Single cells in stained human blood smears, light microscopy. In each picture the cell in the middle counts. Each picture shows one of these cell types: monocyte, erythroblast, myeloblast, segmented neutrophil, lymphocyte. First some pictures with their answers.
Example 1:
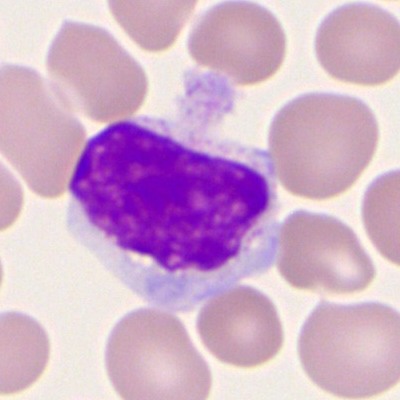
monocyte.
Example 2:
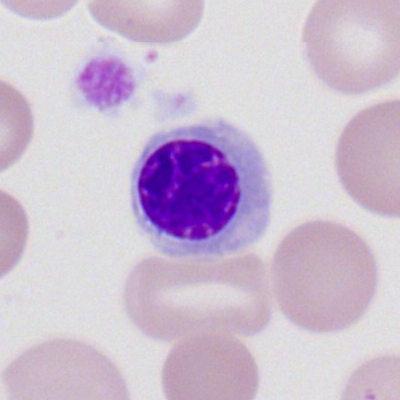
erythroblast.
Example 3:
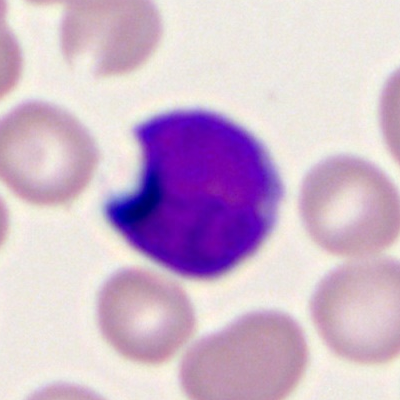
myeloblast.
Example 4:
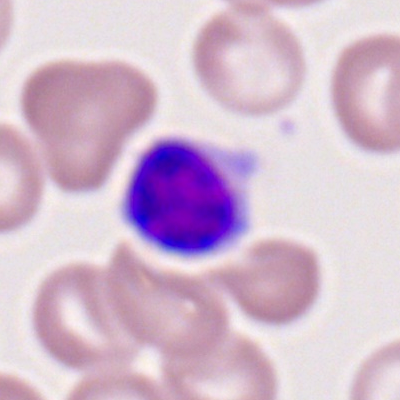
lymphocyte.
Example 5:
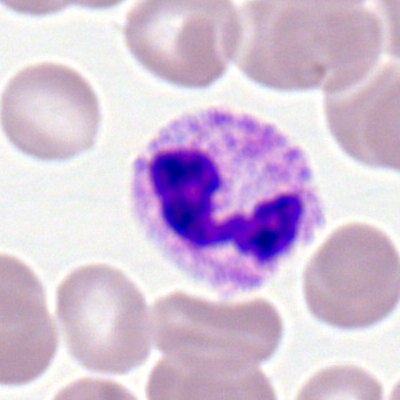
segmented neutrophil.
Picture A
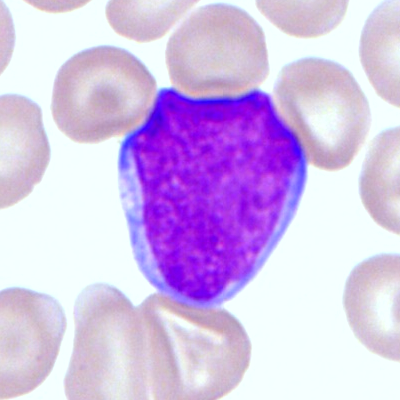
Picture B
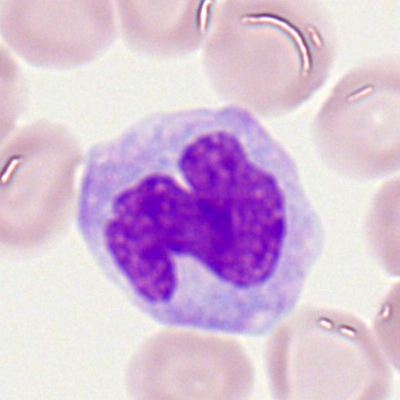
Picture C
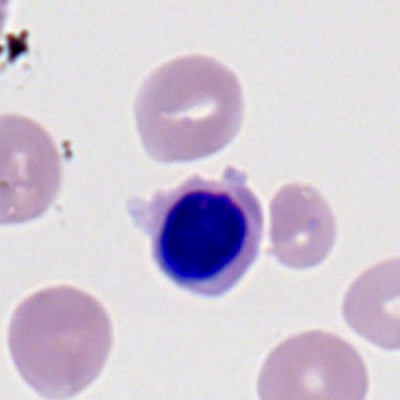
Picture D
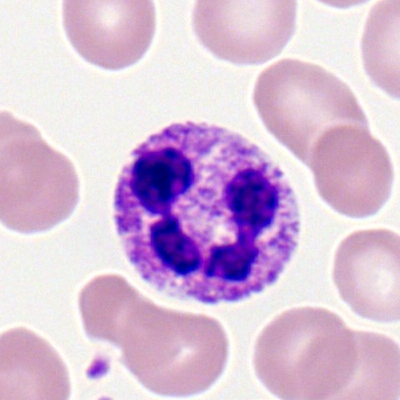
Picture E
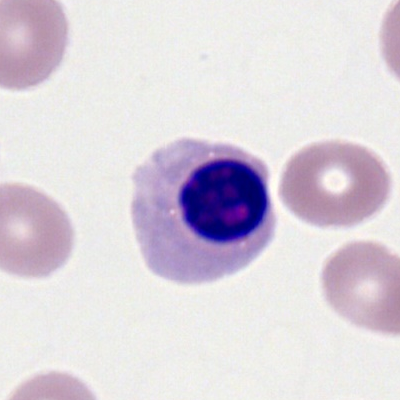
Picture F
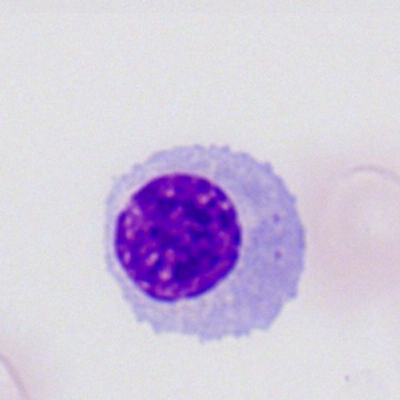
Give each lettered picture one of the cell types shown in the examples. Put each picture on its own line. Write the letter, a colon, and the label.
A: myeloblast.
B: monocyte.
C: erythroblast.
D: segmented neutrophil.
E: erythroblast.
F: erythroblast.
